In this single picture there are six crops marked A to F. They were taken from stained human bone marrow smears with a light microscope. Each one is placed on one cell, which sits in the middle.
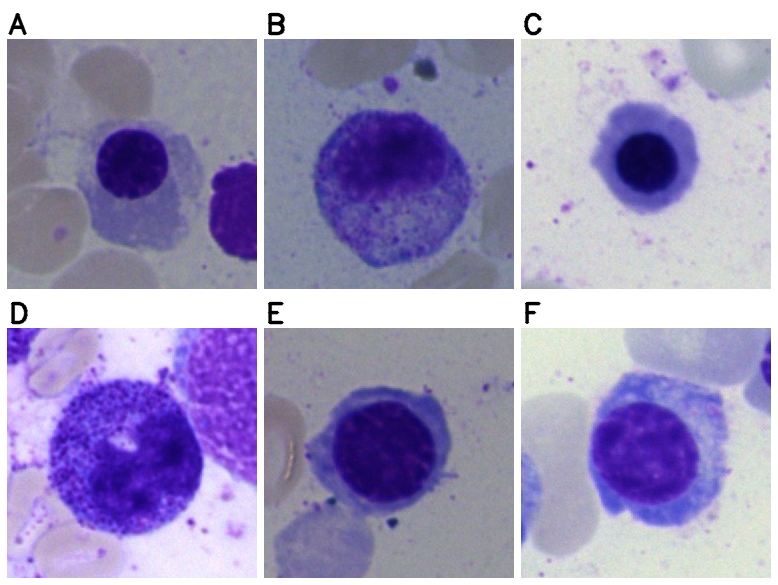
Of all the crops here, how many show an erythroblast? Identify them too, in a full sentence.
Present in three crops, A, C and E, are erythroblasts.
